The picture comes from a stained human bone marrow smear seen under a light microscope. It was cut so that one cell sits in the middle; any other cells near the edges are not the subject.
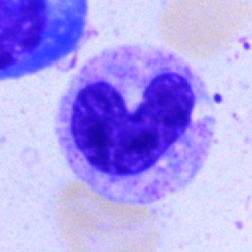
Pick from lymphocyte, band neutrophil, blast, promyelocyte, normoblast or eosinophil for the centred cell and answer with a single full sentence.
The cell the crop is centered on is a band neutrophil.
